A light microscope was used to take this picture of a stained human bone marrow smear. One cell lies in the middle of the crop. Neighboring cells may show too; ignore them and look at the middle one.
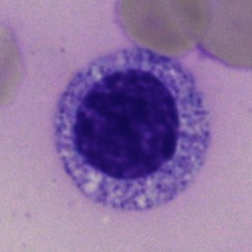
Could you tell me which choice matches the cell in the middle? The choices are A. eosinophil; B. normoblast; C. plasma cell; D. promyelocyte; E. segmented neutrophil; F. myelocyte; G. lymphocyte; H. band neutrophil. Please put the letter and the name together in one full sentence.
The correct identification, given in option F, is that the central cell is a myelocyte.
